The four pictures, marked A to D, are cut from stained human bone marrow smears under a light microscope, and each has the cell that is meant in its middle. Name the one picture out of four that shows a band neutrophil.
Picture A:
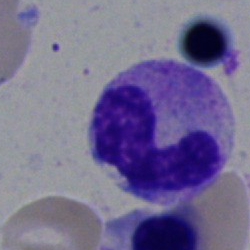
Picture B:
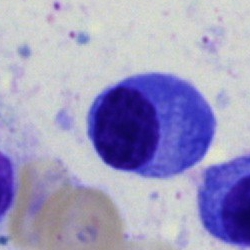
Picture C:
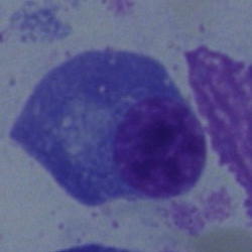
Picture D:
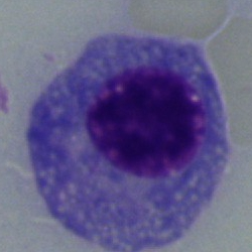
A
